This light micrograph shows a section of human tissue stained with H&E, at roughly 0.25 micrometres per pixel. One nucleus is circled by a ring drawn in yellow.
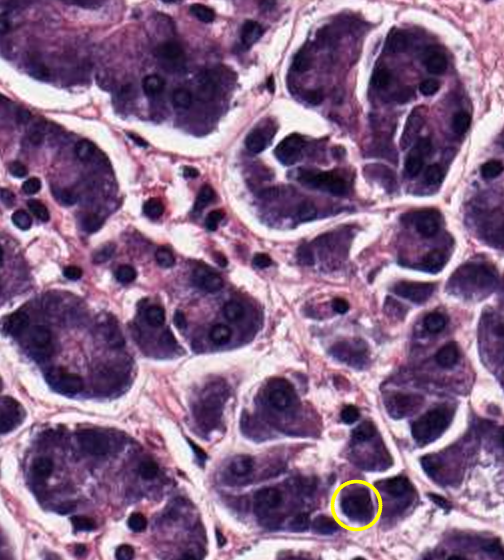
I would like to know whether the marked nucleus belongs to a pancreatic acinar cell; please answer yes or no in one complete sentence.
Yes, the cell that houses the marked nucleus is a pancreatic acinar cell.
